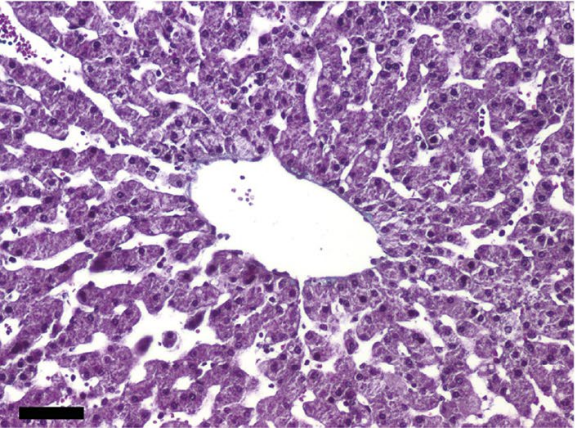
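This is liver parenchyma around a central vein, made of plates of hepatocytes separated by sinusoids. The vein is a large, empty oval lumen containing a few red blood cells, lined only by a very thin blue rim of connective tissue. Cords of polygonal hepatocytes with purple granular cytoplasm and round, centrally placed nuclei radiate outward from the vein. Between the cords lie open, clear sinusoidal spaces that converge toward the vein. No blue-green fibrous tissue extends into the surrounding parenchyma.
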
